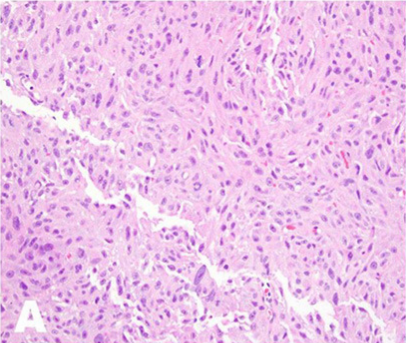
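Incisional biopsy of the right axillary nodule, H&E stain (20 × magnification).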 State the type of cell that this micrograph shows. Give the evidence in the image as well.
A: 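Sheets of densely packed cells with no normal tissue pattern. Cells range from spindled to plump with irregular outlines. Nuclei vary in size and shape. The answer: irregularly-shaped tumor cells.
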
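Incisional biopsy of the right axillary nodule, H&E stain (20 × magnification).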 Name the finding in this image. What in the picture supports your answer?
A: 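Nuclear hyperchromasia. The nuclei stain dark purple. Nuclei are crowded and vary in shape, oval to elongated. Some nuclei are enlarged and irregular.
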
